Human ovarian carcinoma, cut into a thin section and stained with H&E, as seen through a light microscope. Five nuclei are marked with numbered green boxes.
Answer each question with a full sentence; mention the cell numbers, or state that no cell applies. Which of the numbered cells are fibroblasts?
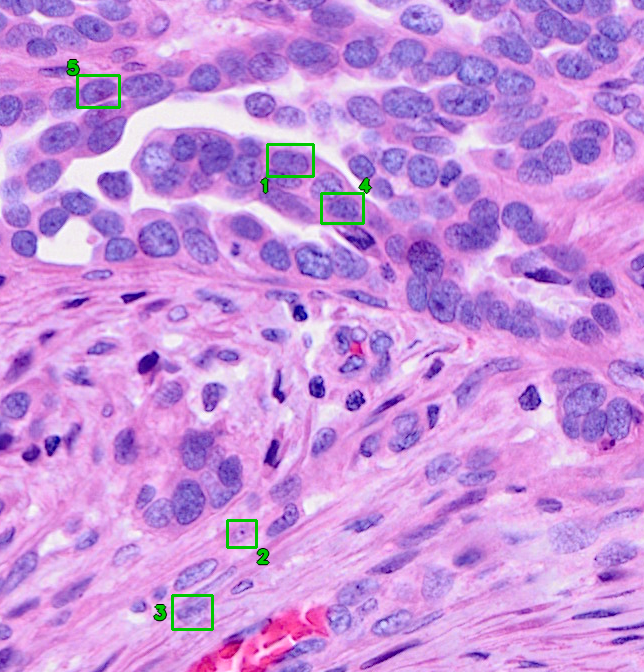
Marked by the numbers 2 and 3 are cells that are fibroblasts.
